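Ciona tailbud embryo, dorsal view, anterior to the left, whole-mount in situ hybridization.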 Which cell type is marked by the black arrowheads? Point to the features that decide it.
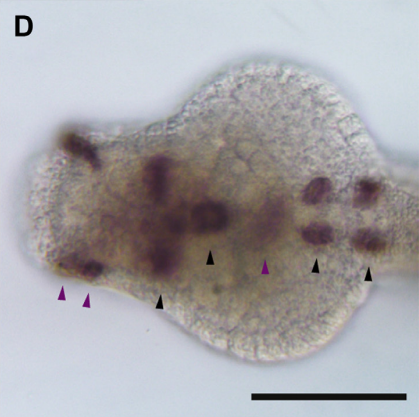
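Presumptive neurons in the central nervous system. Paired stained cell clusters lie along the dorsal midline of the trunk. They run in a row from the trunk toward the tail.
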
